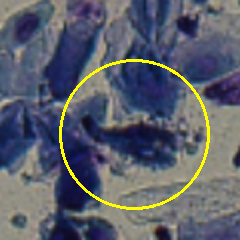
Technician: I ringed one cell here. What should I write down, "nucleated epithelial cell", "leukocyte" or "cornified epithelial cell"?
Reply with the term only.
cornified epithelial cell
